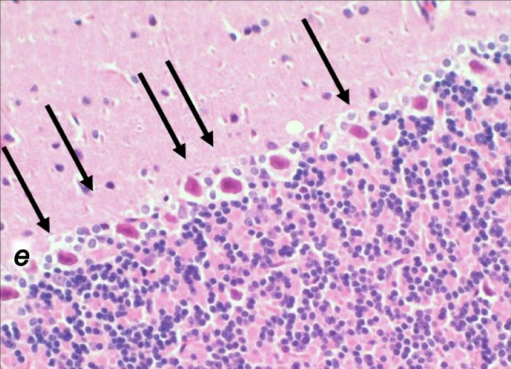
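This is cerebellar cortex in which a pale pink molecular layer at the upper left meets a granular layer of densely packed small, round, dark blue nuclei at the lower right. Along the border lies a row of Purkinje cells, several of which are rounded or shrunken, stain a deep pink and are surrounded by clear halos. The molecular layer holds scattered small nuclei, some with clear spaces around them. The granular layer shows loosened clusters of nuclei with pale spaces between them.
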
